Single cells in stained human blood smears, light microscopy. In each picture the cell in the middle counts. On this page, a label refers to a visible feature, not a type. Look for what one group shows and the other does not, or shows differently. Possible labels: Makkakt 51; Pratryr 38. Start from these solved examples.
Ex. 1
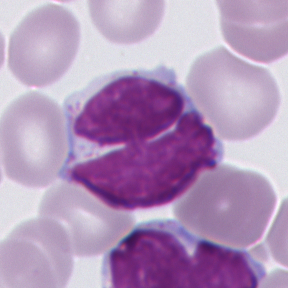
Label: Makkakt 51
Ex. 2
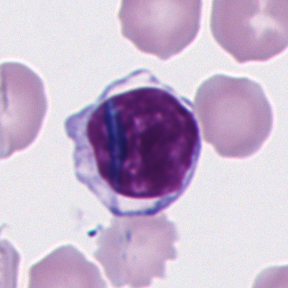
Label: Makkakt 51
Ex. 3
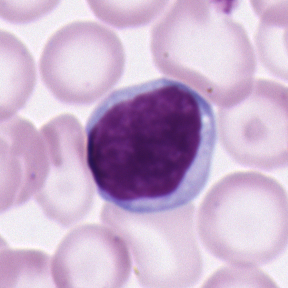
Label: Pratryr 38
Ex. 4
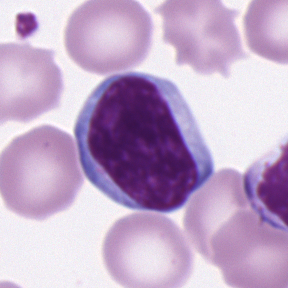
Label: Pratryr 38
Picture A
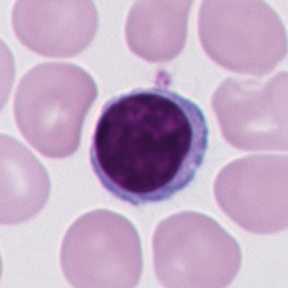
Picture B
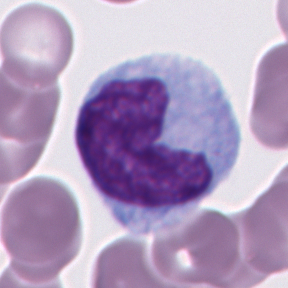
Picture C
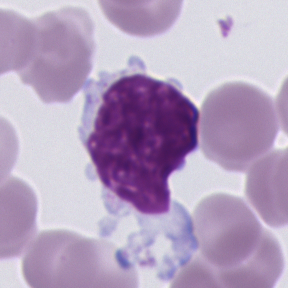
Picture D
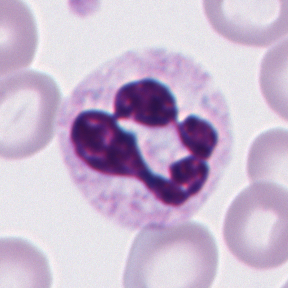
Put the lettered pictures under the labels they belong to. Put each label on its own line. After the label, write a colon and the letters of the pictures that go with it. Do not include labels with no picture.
Makkakt 51: C
Pratryr 38: A, B, D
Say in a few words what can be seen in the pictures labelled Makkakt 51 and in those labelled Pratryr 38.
Seen in Makkakt 51: ragged outline or projections; seen in Pratryr 38: smooth outline.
